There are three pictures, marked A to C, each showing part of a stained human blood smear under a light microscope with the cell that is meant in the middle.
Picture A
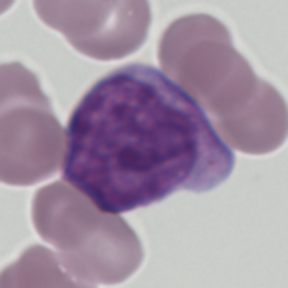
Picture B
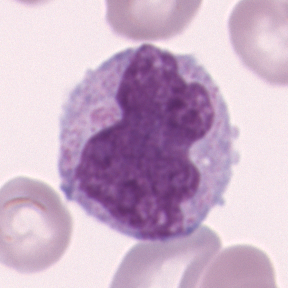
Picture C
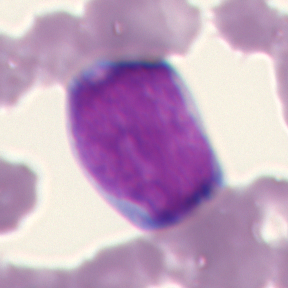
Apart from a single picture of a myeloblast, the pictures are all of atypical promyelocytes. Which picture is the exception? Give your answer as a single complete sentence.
Picture C shows the myeloblast.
